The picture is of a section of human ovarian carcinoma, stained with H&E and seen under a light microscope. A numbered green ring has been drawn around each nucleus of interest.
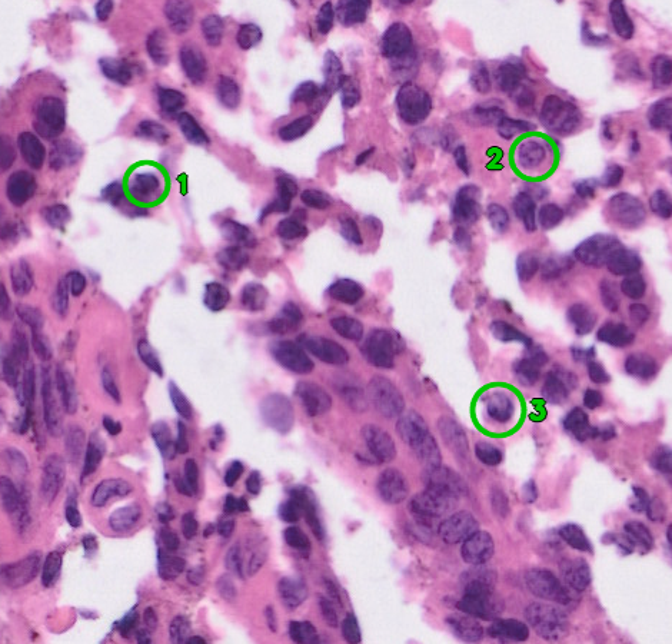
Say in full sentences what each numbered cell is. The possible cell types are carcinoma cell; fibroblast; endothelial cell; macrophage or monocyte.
Cell 1 is a carcinoma cell, cell 2 is a macrophage or monocyte and cell 3 is a macrophage or monocyte.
